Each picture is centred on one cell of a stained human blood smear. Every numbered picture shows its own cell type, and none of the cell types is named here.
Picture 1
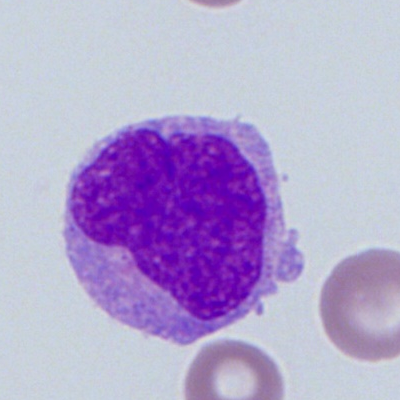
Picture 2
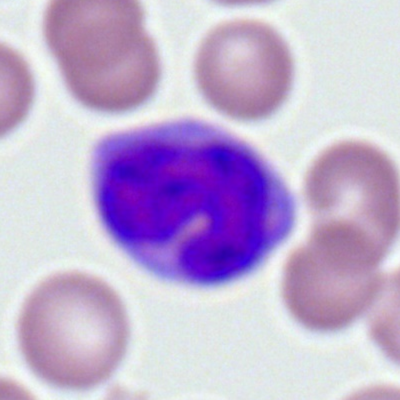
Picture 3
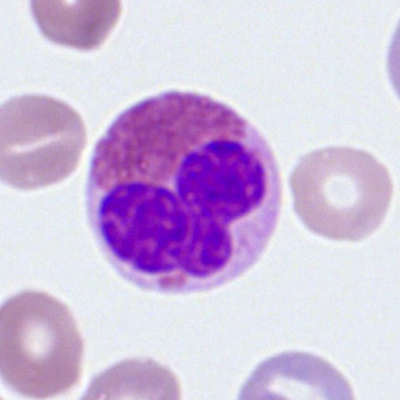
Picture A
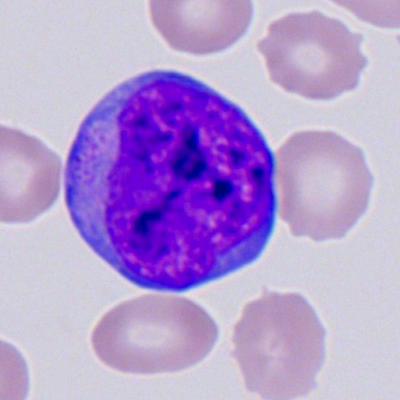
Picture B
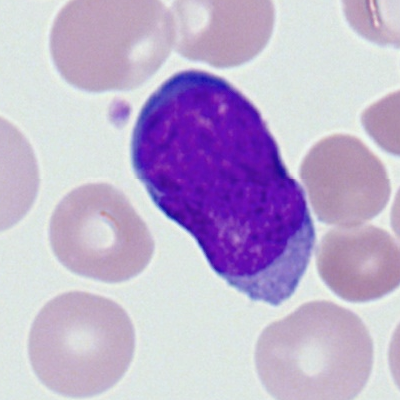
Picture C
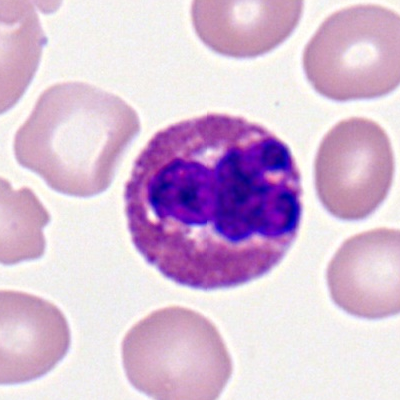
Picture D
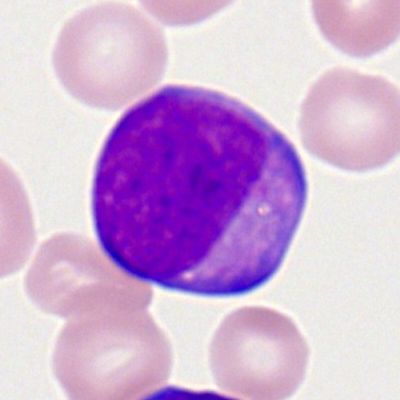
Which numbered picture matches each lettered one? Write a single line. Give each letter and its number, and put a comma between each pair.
A 1, B 1, C 3, D 1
